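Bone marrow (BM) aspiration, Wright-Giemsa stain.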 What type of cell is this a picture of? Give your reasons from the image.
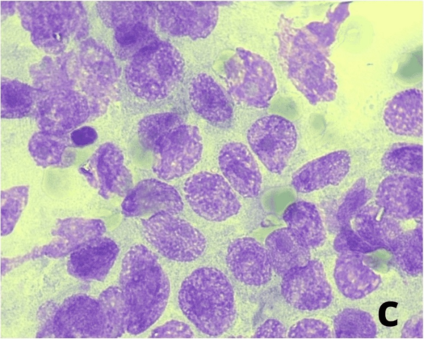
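Large cells with big oval nuclei lie crowded and overlapping. Nuclei have finely granular chromatin and are far larger than the small dark nucleus at left.
Hence: clusters of non-hematopoietic cells.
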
